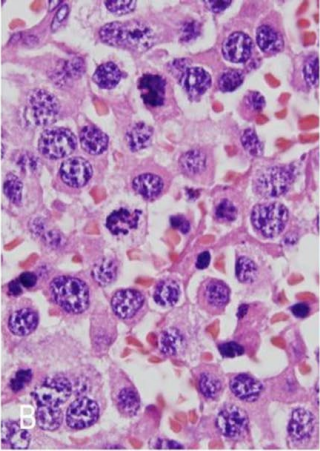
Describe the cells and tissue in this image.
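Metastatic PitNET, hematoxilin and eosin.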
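Tumour cells lie loosely between red blood cells, each with a large round to oval nucleus with coarse, clumped purple chromatin and pink cytoplasm. Nuclei vary clearly in size and shape, and several cells show dark condensed chromatin of dividing cells.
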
